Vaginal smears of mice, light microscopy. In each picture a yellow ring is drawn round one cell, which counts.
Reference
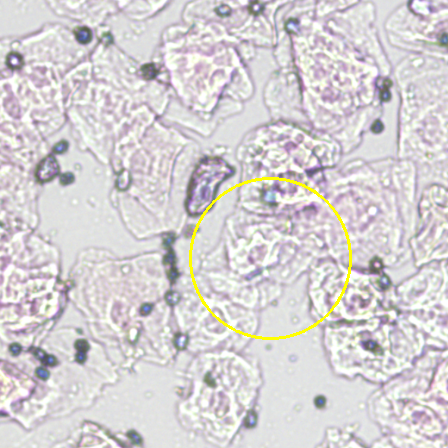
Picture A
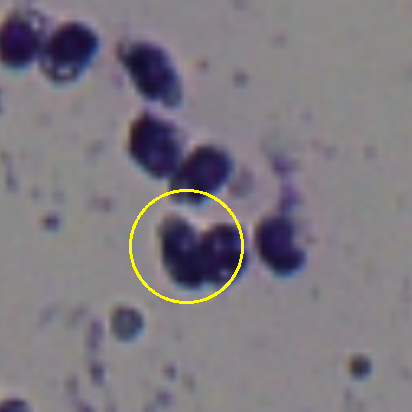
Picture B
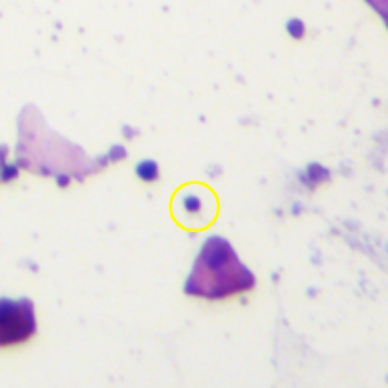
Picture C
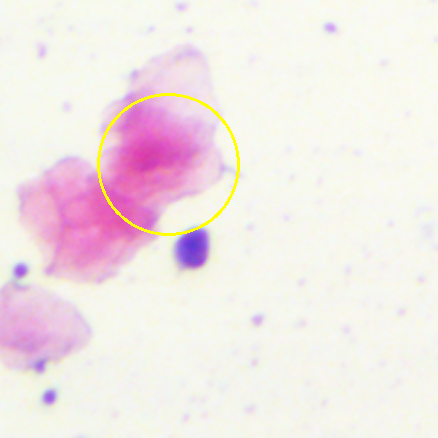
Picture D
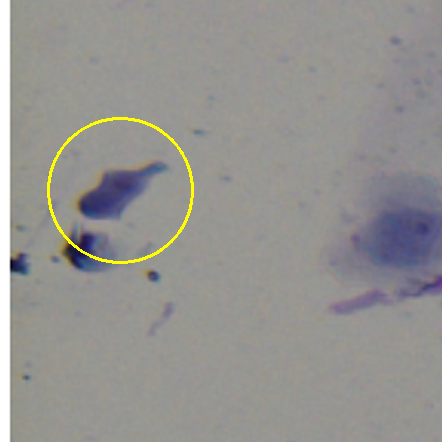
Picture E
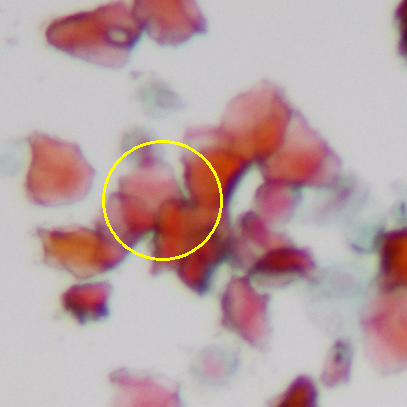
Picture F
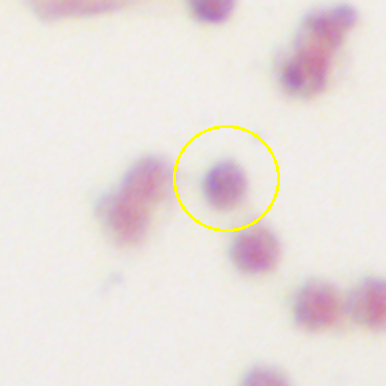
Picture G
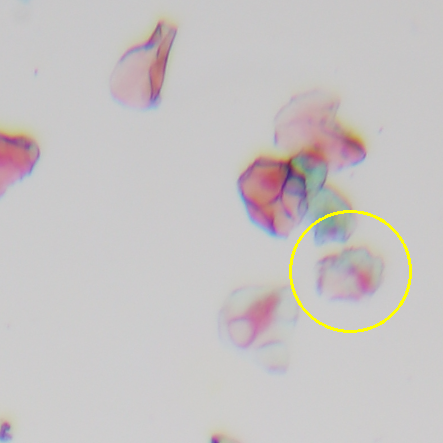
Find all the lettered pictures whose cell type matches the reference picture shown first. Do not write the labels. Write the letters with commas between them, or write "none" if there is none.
C, D, E, G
